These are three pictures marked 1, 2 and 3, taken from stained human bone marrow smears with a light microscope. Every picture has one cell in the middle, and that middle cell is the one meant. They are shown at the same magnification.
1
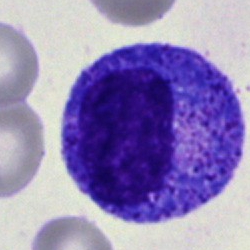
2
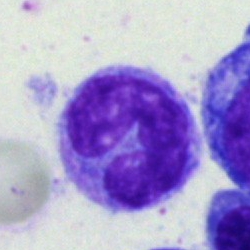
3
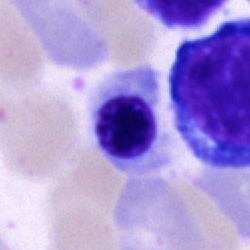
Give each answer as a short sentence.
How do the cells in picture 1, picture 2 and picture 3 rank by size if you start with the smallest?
Smallest first: 3, 2, 1.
